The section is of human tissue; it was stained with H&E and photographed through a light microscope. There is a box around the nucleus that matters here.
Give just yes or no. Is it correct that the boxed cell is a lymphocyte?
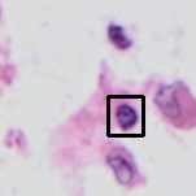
yes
